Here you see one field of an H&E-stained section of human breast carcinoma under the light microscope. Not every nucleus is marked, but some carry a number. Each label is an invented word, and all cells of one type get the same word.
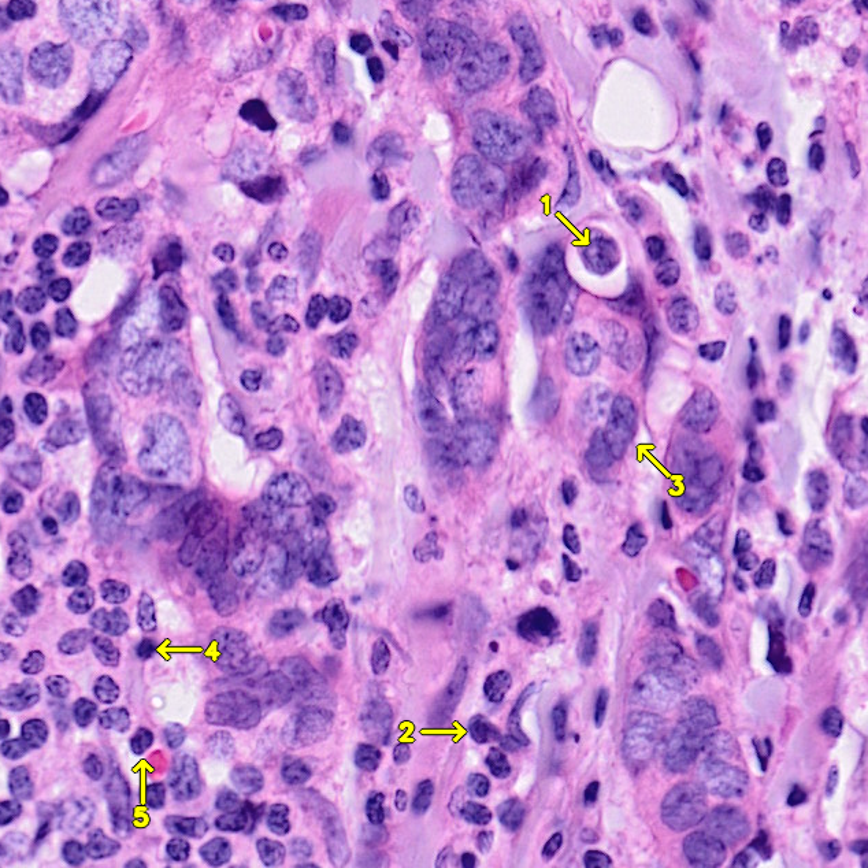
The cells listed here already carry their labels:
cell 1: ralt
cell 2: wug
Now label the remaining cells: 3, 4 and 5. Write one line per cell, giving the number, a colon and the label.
3: ralt
4: wug
5: wug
